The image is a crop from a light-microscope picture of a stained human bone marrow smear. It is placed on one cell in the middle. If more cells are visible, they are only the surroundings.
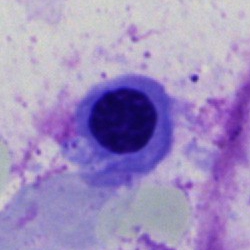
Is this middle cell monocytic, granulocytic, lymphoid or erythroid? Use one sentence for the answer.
Attributed to the erythroid lineage is the centrally located cell.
